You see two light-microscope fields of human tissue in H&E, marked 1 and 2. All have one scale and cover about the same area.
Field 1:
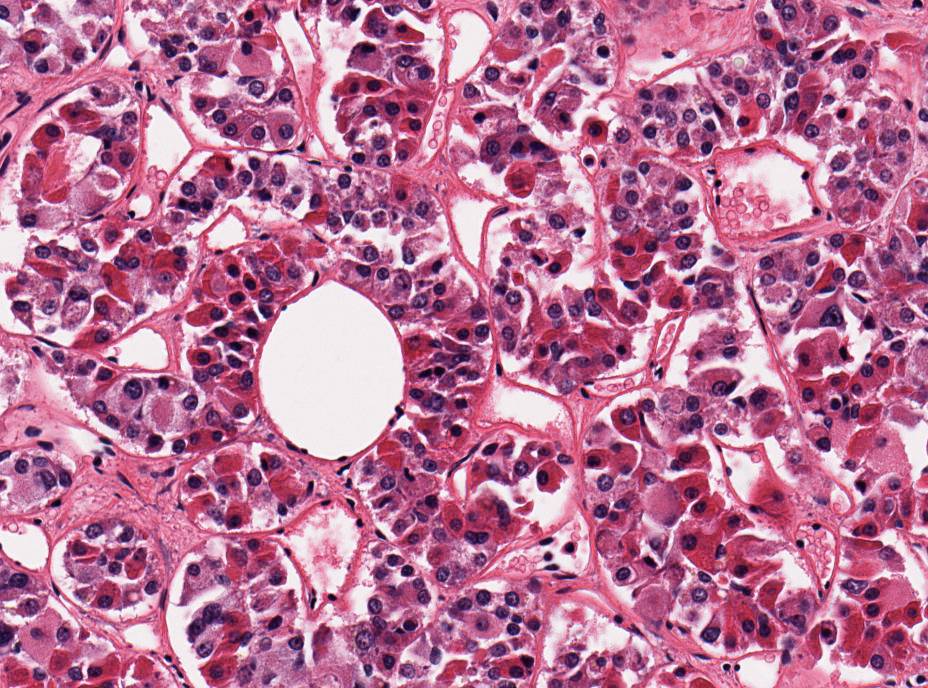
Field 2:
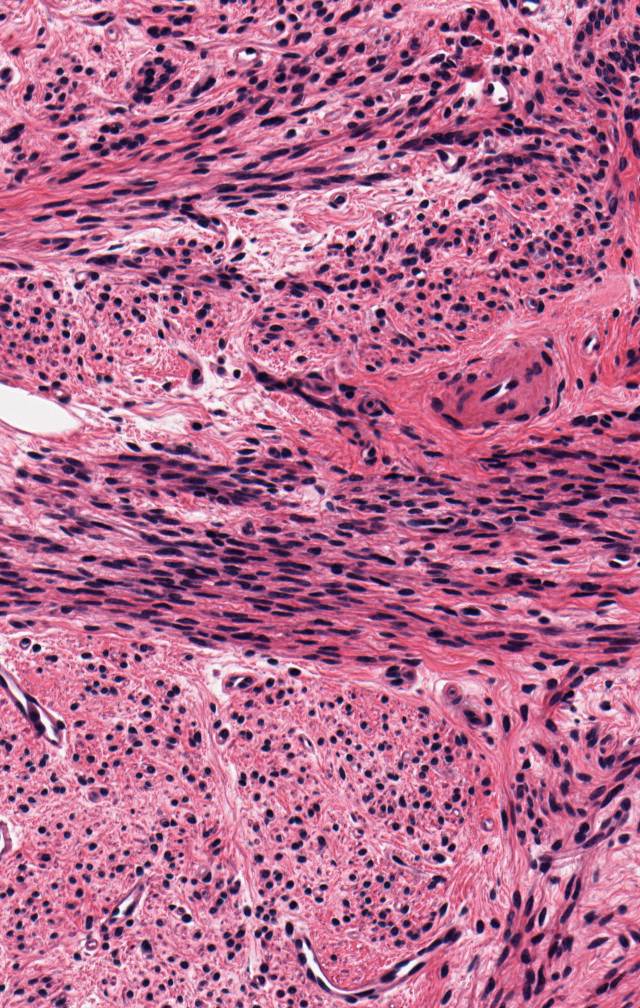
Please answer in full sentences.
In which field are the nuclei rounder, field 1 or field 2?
On the whole the nuclei of field 1 are rounder than those of field 2.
